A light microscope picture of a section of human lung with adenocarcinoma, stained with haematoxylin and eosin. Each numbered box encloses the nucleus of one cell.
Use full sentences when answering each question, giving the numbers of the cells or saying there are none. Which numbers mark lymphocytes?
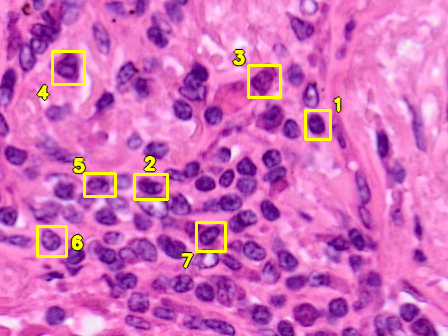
The cells tagged 1, 2, 5 and 6 are lymphocytes in this tissue section.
